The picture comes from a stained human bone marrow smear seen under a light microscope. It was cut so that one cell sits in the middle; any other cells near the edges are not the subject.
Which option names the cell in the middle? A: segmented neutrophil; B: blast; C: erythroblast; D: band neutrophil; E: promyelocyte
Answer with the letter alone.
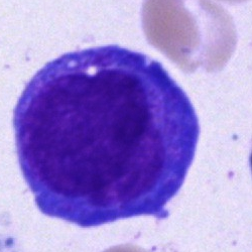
B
